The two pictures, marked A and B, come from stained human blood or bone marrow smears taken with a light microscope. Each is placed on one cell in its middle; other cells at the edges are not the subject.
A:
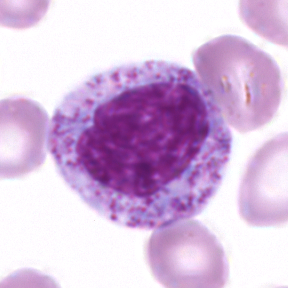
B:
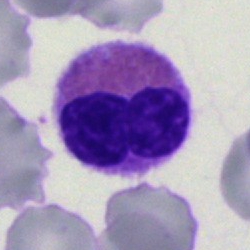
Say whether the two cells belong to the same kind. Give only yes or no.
no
